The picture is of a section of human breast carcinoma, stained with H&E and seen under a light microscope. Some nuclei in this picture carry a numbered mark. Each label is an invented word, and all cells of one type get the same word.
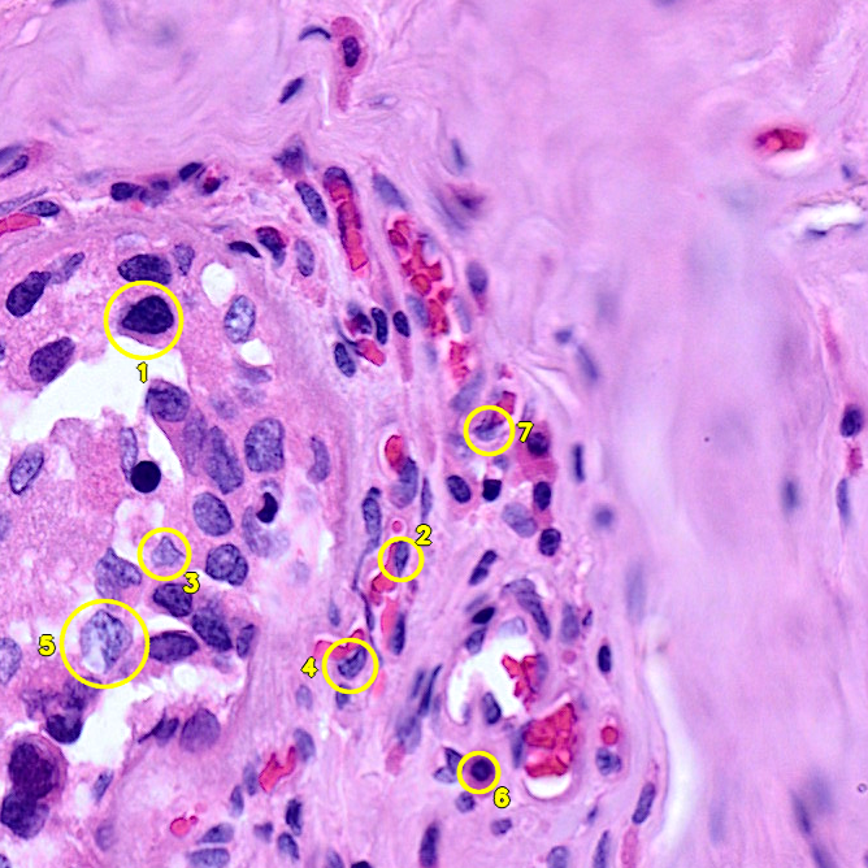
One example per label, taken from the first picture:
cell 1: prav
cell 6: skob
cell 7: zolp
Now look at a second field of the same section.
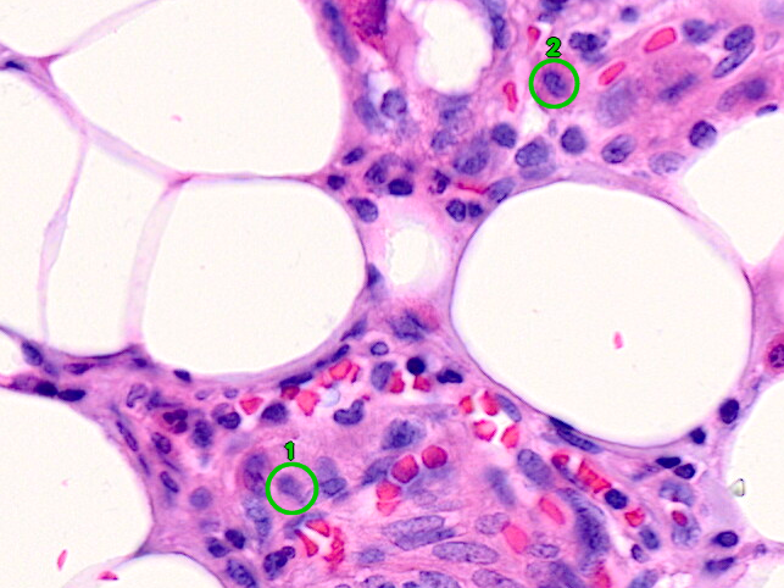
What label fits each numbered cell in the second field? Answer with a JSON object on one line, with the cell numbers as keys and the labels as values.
{"1": "zolp", "2": "skob"}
